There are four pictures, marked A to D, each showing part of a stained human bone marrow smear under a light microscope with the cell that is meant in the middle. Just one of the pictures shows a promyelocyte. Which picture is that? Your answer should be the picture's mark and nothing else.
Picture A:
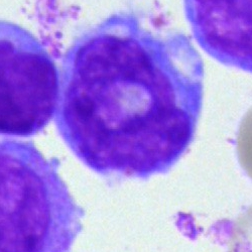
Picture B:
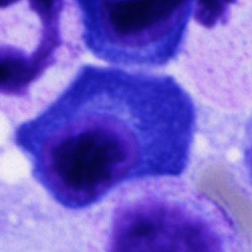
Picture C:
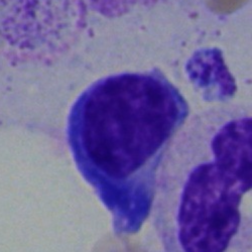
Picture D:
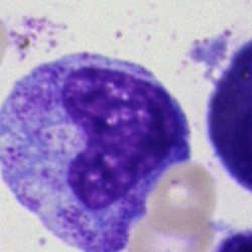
D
